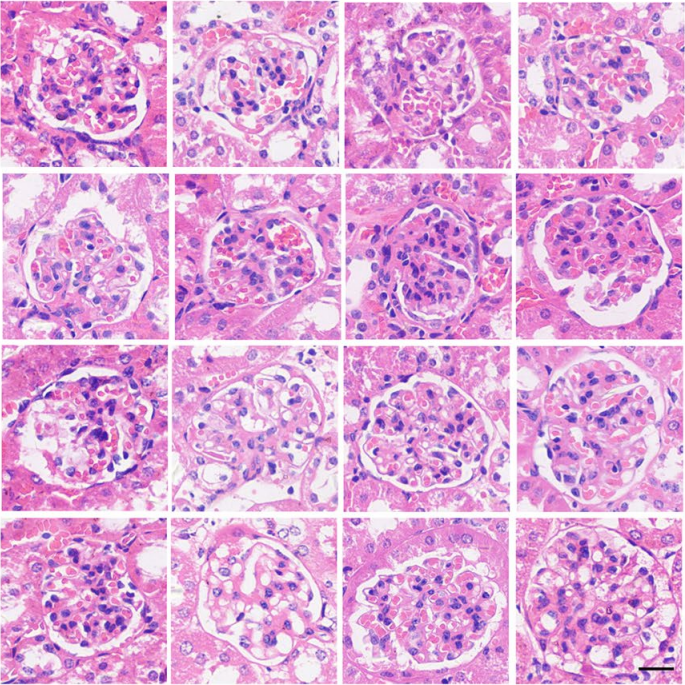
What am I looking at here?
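A grid of sixteen small kidney sections stained pink and purple, each centred on a round glomerular tuft of capillary loops with purple nuclei and red blood cells in the lumina. Each tuft lies in a clear urinary space bounded by a thin capsule. Tubule profiles with pink granular cytoplasm and round nuclei surround the tufts. The tufts look broadly alike across the grid, without obvious scarring or crescents.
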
